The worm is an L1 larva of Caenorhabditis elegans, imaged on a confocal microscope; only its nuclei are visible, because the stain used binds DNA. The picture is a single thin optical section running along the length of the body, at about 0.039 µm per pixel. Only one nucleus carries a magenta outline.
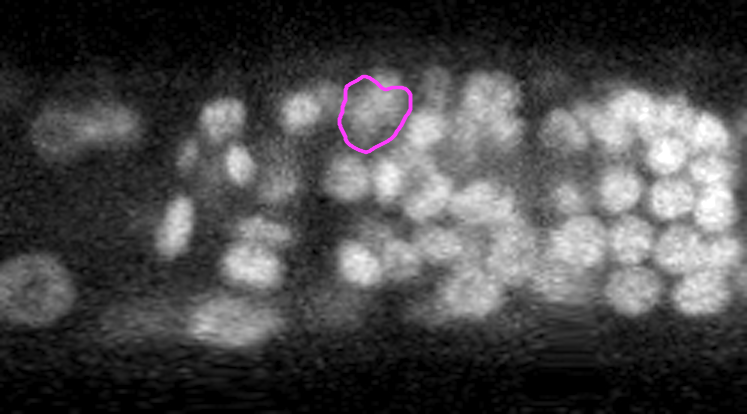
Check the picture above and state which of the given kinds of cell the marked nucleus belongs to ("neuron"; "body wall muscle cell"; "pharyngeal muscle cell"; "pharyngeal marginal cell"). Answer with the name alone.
body wall muscle cell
